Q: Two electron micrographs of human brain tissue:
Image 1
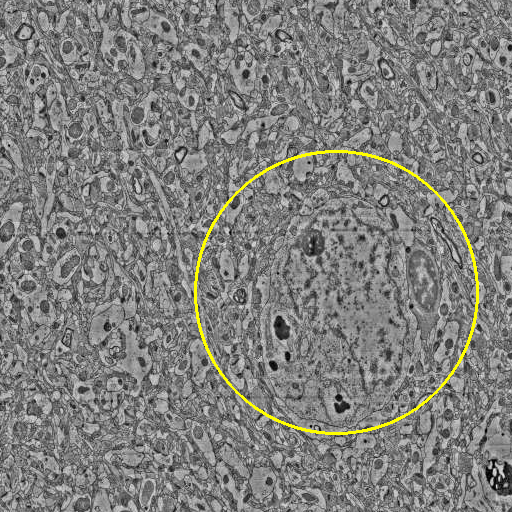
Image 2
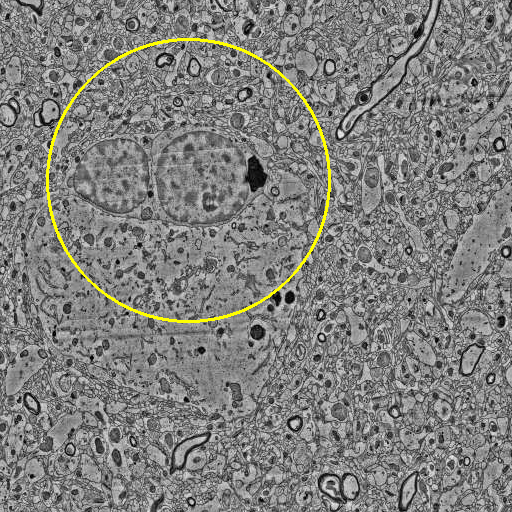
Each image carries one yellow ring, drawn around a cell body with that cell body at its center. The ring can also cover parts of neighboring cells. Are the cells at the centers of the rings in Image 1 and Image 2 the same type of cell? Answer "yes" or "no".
no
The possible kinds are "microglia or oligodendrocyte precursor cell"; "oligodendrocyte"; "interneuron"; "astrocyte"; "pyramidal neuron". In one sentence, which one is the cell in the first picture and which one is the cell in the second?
The cell ringed in the second picture is an oligodendrocyte, whereas the one ringed in the first is an interneuron.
